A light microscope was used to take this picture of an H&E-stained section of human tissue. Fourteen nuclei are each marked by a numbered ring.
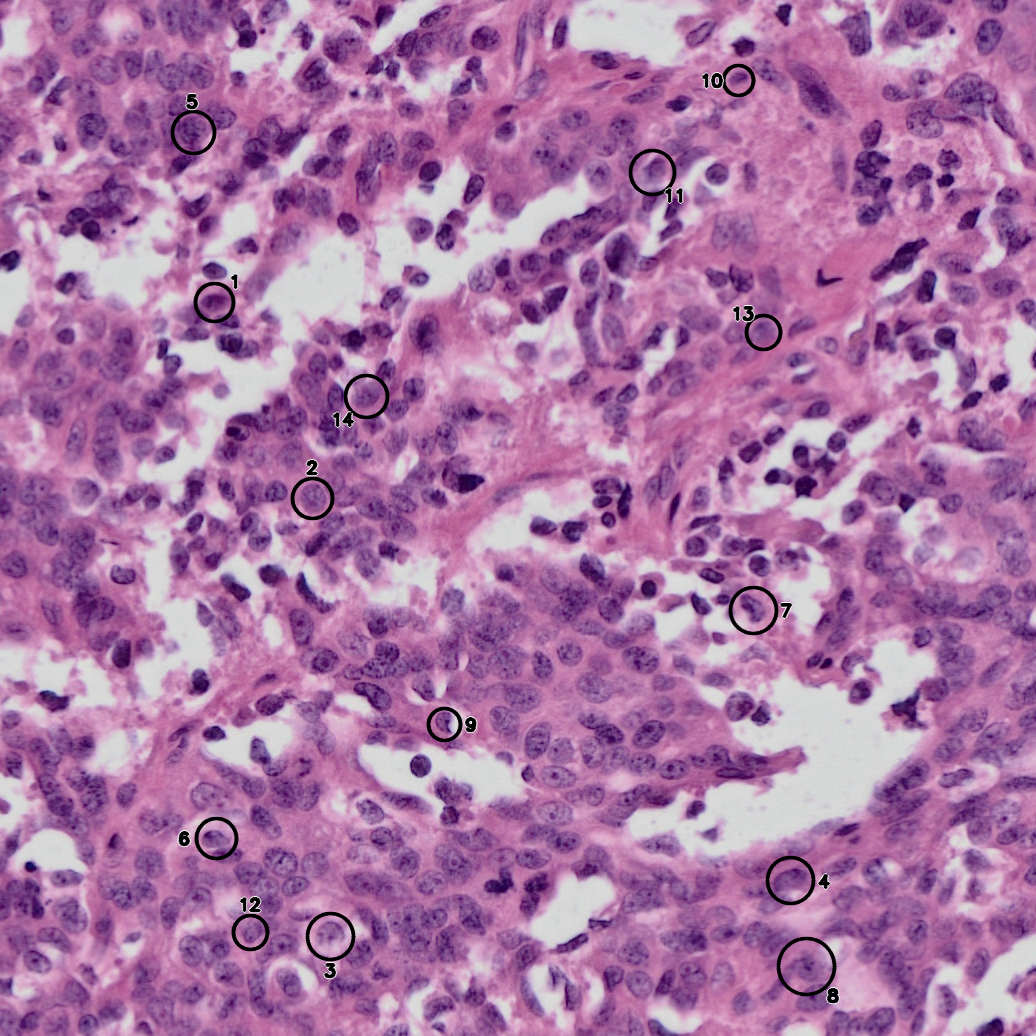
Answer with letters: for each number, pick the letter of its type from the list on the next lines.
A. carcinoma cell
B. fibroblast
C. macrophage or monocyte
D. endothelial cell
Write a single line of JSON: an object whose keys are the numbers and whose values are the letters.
{"1": "A", "2": "A", "3": "C", "4": "A", "5": "A", "6": "C", "7": "C", "8": "A", "9": "C", "10": "C", "11": "A", "12": "C", "13": "A", "14": "A"}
